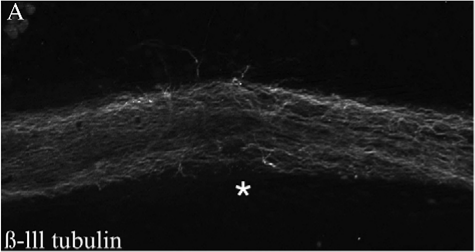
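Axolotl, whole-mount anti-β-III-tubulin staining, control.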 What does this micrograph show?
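A broad band of fine bright fibres, the axons, crosses the field from left to right, running roughly parallel and closely packed, with a slight bulge towards the middle. Only a few short fibres leave the band, and the band shows no clear break or tangle along its length. The dark background holds few stained structures.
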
